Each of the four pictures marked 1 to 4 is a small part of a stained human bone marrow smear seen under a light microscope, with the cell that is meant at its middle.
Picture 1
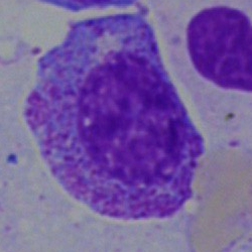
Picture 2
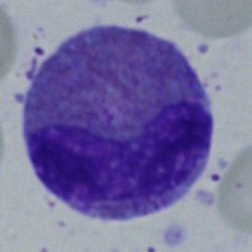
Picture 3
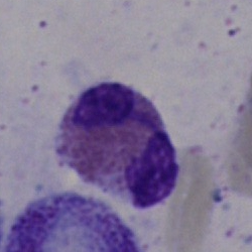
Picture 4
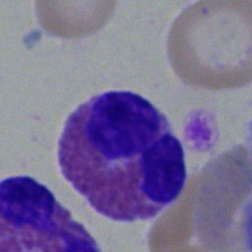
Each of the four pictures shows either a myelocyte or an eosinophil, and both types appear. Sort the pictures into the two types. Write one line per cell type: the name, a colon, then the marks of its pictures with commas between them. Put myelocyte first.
myelocyte: 1
eosinophil: 2, 3, 4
